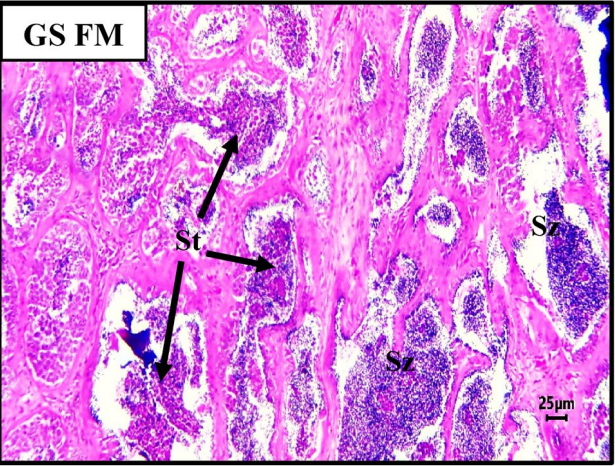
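Irregular lobules separated by thick pink interstitial tissue contain clusters of small round cells, some stained deep purple and others more reddish and slightly larger. In places the lumen holds crowded tiny dark dots, while elsewhere looser groups of rounded cells lie against the lobule walls. This is testis tissue in which lobules hold both spermatids and spermatozoa, the tiny densely packed dark dots being the spermatozoa.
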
